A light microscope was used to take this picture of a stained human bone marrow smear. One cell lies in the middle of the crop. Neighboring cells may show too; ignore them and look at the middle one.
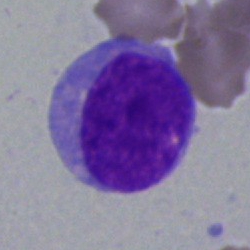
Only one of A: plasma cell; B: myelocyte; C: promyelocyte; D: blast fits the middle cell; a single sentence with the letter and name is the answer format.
Option D is the keyed answer: the cell in the middle is a blast.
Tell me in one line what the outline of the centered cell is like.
No projections interrupt the outline; it is smooth all the way round.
